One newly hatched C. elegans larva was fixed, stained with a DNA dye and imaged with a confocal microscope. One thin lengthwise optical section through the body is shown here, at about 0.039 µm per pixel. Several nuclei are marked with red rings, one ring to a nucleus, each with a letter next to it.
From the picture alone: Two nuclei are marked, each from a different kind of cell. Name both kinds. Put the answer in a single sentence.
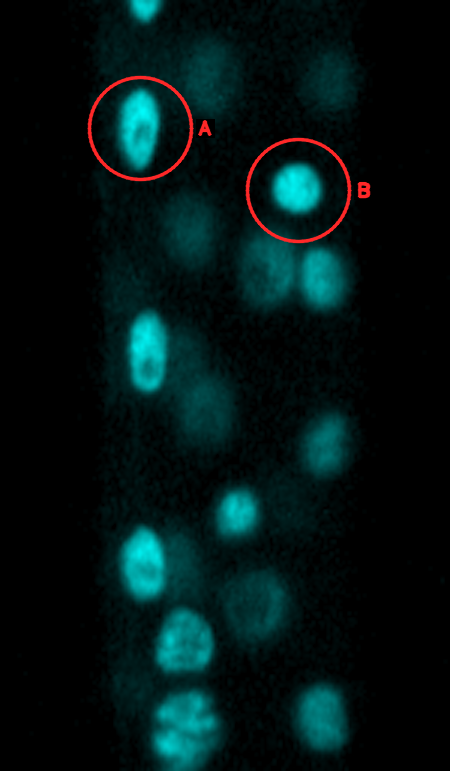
A belongs to a body wall muscle cell and B to a neuron.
